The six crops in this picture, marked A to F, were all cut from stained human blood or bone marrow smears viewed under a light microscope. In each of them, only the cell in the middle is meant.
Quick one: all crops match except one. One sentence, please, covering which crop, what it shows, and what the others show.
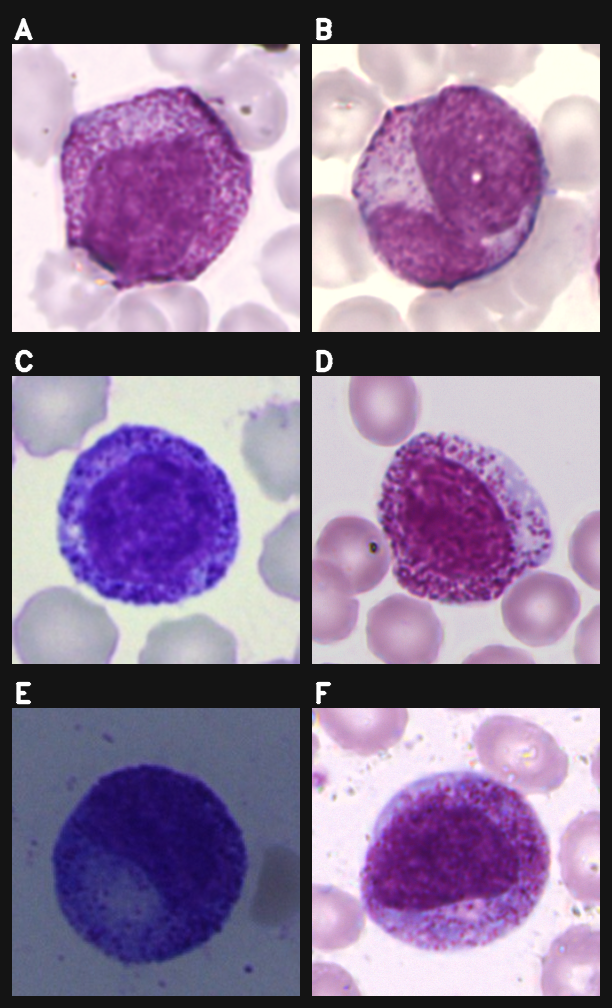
The others are all promyelocytes; crop D is a myelocyte.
